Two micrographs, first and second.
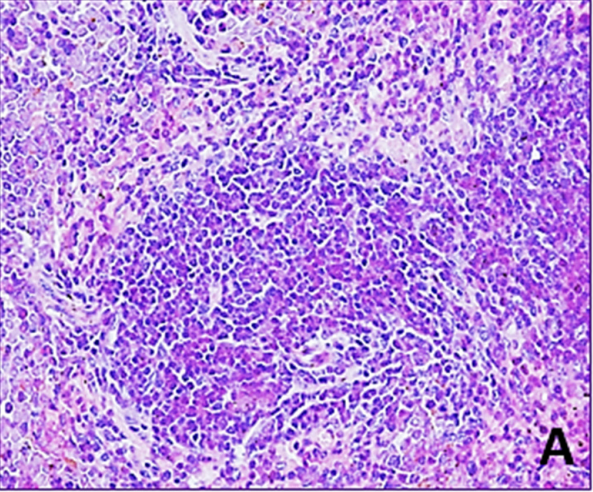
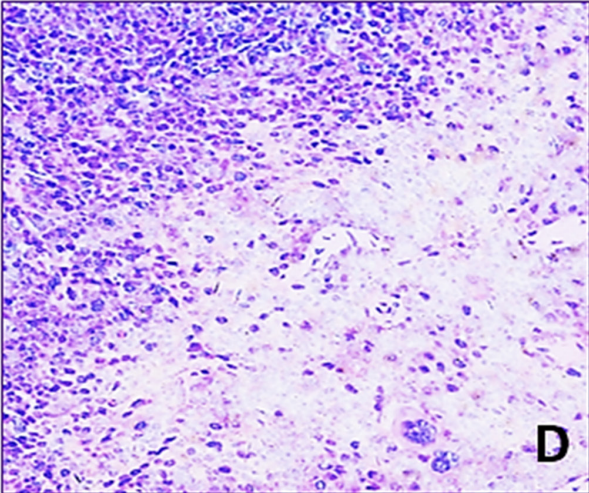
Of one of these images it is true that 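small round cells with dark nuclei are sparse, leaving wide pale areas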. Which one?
The second image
